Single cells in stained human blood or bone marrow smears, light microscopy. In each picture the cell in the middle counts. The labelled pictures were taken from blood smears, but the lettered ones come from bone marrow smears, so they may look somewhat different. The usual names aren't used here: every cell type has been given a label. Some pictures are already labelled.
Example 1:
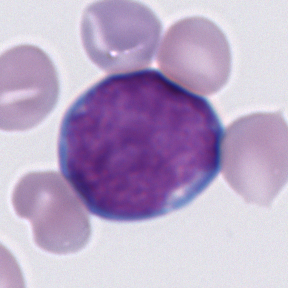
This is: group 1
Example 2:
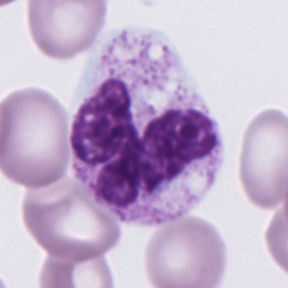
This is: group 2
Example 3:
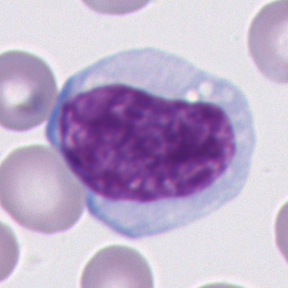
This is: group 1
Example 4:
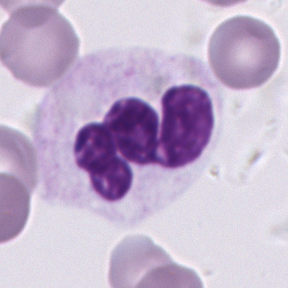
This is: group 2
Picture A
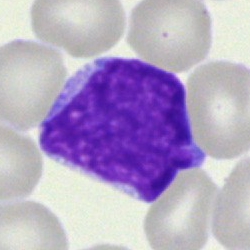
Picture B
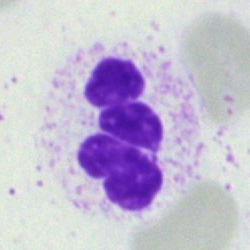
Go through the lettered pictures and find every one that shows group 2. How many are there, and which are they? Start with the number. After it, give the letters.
Count: 1 (B)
